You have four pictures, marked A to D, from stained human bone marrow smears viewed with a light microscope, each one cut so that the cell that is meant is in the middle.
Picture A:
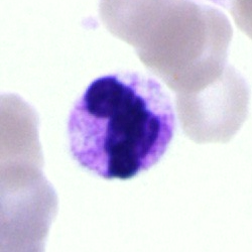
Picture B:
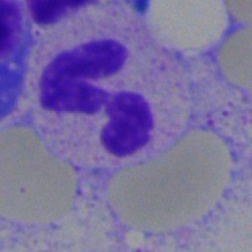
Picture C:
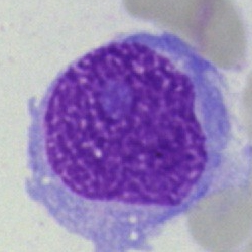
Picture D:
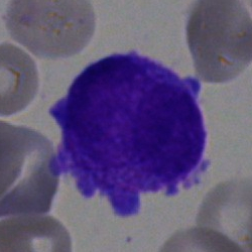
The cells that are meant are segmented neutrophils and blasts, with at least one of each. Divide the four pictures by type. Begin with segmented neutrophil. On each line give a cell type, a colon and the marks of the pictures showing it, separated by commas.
segmented neutrophil: A, B
blast: C, D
